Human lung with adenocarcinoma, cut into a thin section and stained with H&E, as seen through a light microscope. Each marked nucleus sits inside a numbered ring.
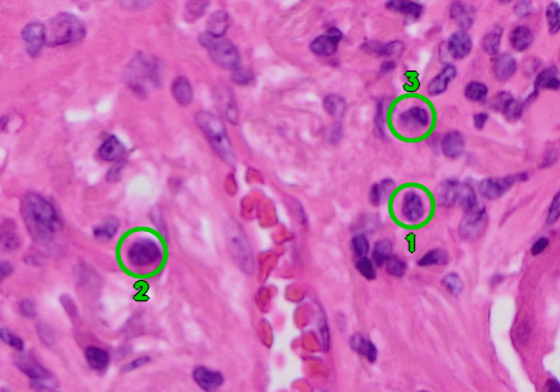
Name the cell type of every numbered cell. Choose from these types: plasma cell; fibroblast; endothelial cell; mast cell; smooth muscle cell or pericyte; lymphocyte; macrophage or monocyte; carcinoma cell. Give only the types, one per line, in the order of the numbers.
lymphocyte
plasma cell
lymphocyte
